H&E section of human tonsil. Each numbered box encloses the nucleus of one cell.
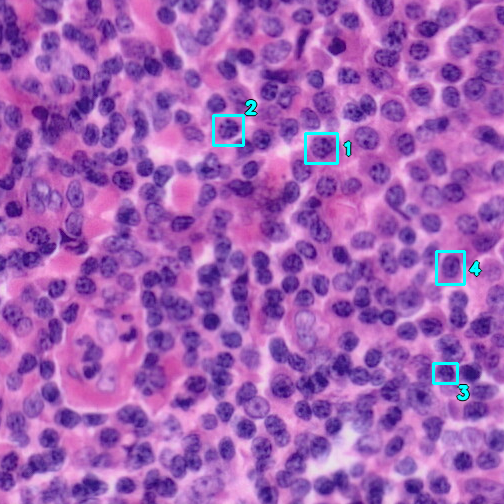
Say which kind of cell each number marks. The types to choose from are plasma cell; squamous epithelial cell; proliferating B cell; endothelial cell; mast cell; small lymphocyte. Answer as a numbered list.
1. plasma cell
2. plasma cell
3. small lymphocyte
4. plasma cell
